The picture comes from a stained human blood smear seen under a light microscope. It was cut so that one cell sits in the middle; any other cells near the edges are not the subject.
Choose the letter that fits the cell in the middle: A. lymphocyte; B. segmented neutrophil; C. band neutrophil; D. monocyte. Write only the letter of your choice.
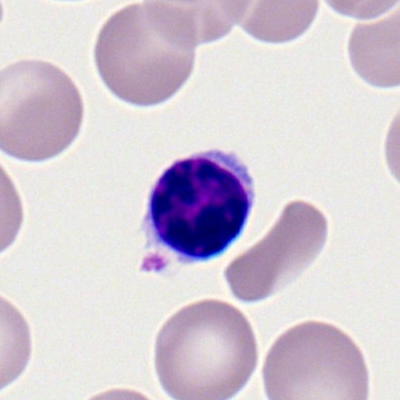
A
